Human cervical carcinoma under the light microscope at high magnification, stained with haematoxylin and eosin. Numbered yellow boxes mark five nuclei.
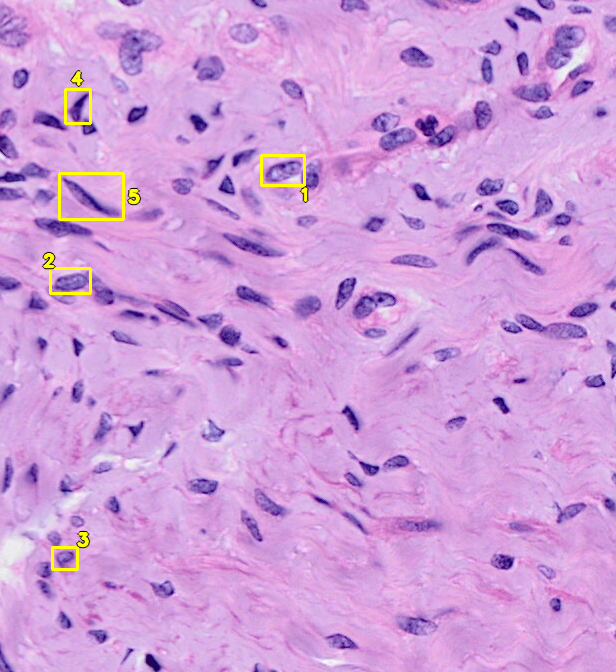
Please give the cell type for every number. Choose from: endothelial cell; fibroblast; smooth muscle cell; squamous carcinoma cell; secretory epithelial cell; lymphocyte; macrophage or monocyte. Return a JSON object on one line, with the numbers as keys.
{"1": "endothelial cell", "2": "fibroblast", "3": "smooth muscle cell", "4": "fibroblast", "5": "fibroblast"}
